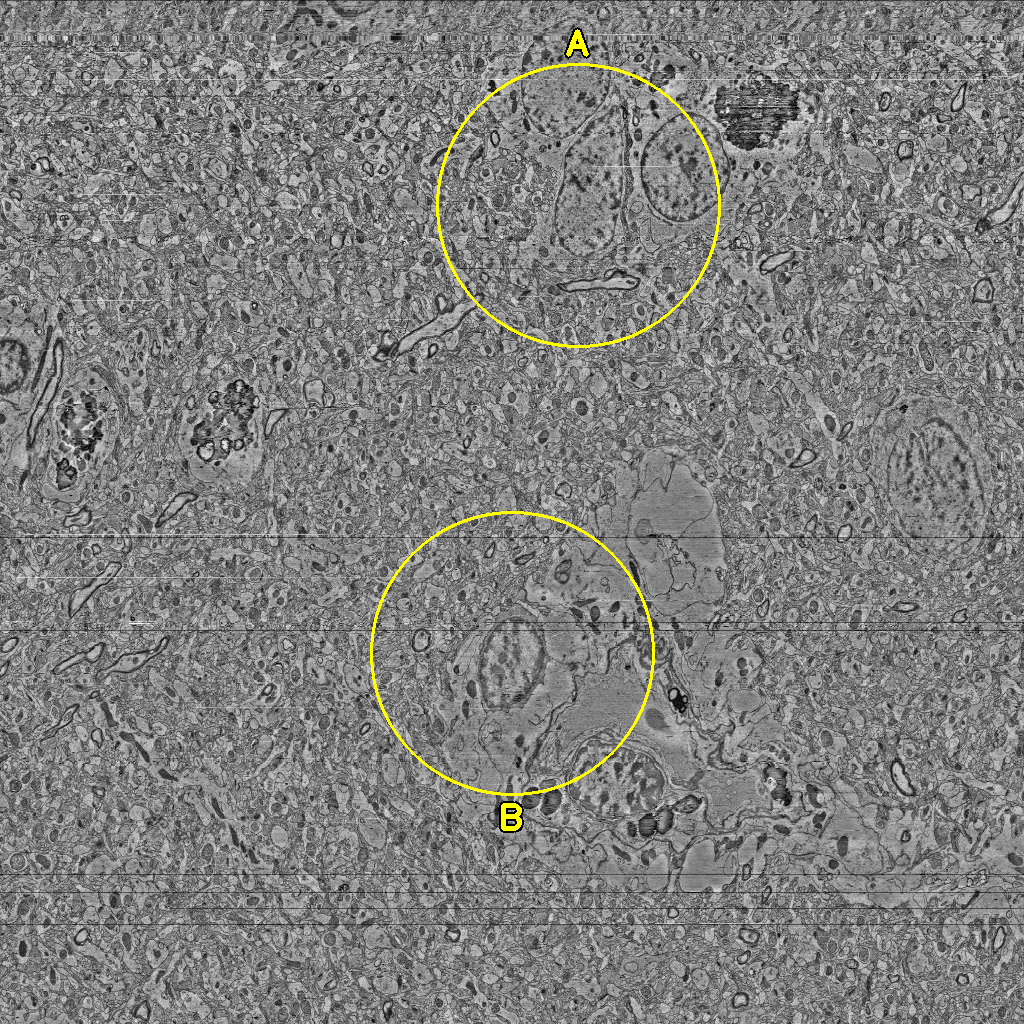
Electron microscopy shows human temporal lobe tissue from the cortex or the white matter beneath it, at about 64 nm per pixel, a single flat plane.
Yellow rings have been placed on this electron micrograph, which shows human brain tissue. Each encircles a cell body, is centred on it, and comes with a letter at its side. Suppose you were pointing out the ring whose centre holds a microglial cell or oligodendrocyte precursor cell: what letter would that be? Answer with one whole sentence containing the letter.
The ring I would point to, centred on the cell in question, is A.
